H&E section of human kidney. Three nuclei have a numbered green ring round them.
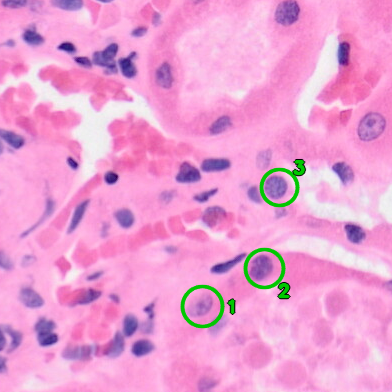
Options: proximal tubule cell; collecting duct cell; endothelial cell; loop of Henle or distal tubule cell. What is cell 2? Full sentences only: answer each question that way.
Among the marked cells, number 2 is a proximal tubule cell.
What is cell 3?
It is as a loop of Henle or distal tubule cell that the cell numbered 3 is identified.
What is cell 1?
In the marked set, the cell given number 1 is a proximal tubule cell.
